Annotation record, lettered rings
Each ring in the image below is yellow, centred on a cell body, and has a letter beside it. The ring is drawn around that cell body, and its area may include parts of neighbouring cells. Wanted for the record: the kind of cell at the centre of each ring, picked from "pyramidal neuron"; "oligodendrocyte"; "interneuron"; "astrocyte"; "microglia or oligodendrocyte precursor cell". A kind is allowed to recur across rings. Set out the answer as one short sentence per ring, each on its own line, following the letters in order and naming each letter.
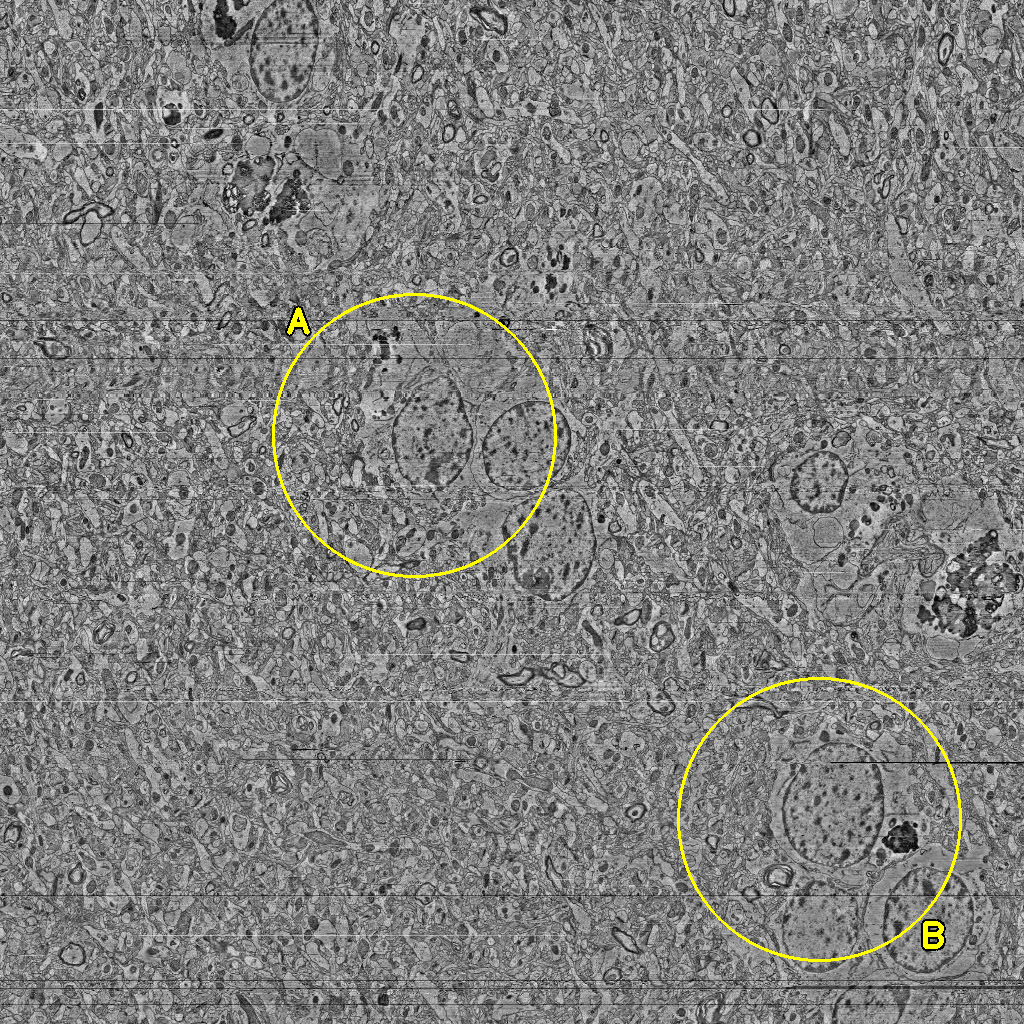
Ring A was drawn on an astrocyte.
Ring B was drawn on an astrocyte.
